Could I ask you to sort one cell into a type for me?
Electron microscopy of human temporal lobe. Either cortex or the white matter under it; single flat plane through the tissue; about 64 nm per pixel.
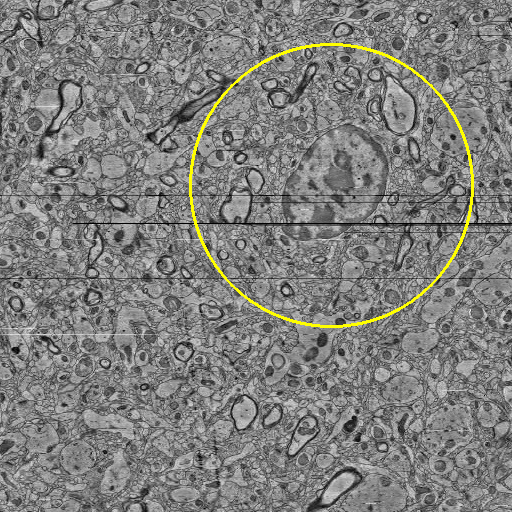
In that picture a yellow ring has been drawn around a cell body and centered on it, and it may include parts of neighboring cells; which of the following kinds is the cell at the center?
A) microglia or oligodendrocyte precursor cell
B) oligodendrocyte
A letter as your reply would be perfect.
A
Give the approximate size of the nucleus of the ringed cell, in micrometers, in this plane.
In this plane, roughly 8 by 6 micrometres.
